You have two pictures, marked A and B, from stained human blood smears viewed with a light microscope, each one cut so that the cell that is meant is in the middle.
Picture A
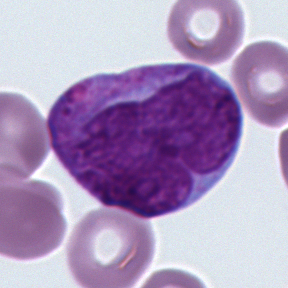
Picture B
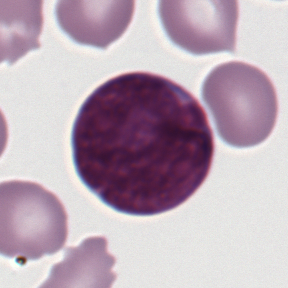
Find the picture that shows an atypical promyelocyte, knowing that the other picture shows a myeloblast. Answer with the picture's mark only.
A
